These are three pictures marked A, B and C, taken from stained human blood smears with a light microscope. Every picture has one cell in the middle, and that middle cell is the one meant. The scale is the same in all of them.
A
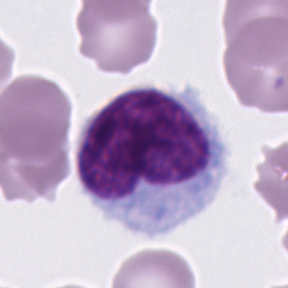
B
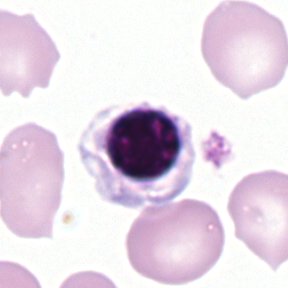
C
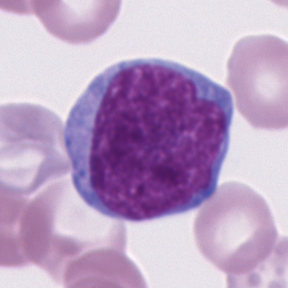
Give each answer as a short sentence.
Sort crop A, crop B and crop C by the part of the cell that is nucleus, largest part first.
They run C, A, B, the most filled first.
